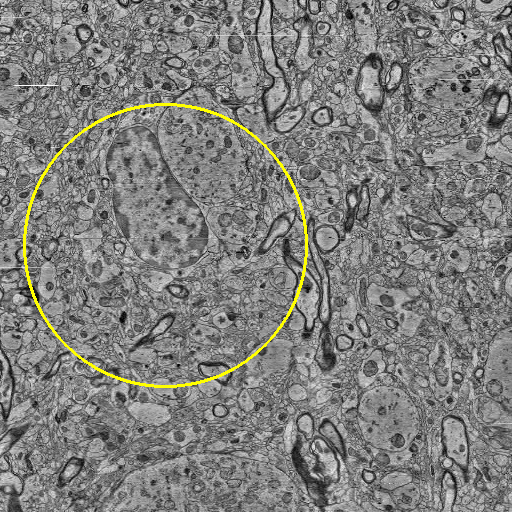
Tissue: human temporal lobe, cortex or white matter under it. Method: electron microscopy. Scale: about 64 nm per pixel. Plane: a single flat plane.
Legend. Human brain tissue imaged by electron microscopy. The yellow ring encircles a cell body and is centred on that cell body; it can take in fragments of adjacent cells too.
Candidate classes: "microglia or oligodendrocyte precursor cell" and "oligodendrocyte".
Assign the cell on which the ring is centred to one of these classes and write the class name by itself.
microglia or oligodendrocyte precursor cell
